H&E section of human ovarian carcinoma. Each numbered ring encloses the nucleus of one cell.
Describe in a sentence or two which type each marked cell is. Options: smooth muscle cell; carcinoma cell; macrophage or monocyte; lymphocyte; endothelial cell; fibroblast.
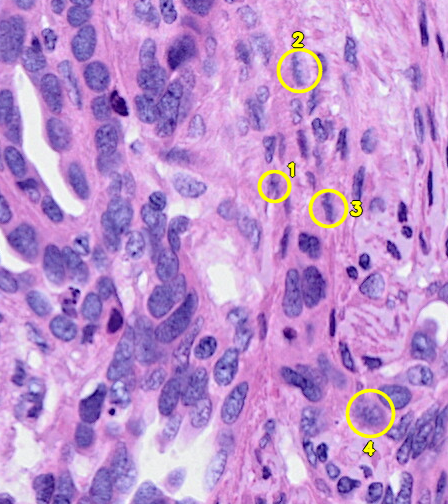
Cells 1, 2 and 3 are fibroblasts. Cell 4 is a carcinoma cell.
